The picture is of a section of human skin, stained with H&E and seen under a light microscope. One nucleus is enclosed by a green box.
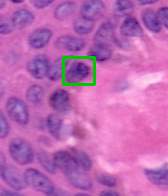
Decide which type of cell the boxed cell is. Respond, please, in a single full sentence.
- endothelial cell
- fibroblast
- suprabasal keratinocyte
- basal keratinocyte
Placed in its cell category, the boxed cell is a basal keratinocyte.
